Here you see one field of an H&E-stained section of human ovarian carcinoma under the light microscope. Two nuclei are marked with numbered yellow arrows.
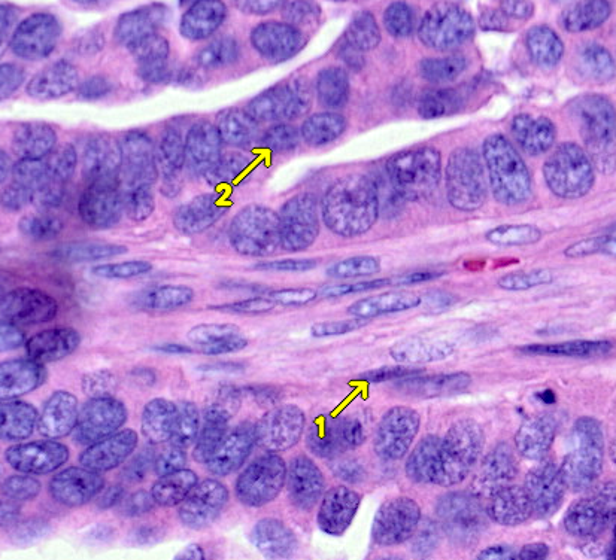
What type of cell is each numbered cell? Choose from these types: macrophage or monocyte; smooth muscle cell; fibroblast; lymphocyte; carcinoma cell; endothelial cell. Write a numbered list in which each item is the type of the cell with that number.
1. fibroblast
2. carcinoma cell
